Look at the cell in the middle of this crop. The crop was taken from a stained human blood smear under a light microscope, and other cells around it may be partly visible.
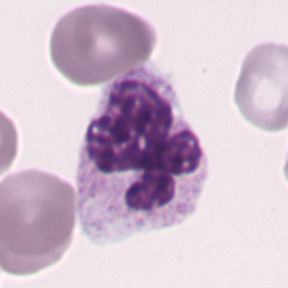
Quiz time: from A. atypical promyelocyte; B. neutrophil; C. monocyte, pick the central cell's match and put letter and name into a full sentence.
The cell placed in the middle is a neutrophil; option B is correct.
